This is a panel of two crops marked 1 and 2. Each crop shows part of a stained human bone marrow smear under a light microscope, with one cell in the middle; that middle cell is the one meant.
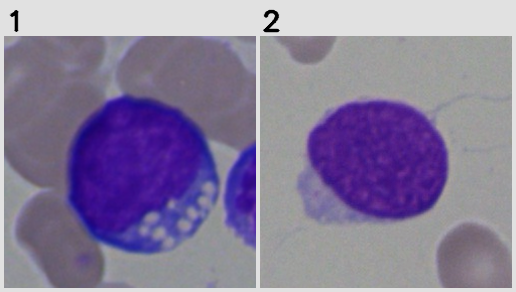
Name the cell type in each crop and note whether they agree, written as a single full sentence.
Yes, the same answer goes for both crops, namely blasts.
